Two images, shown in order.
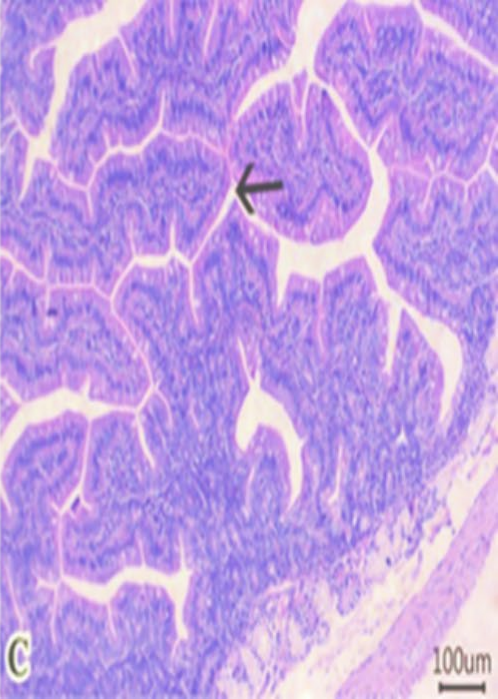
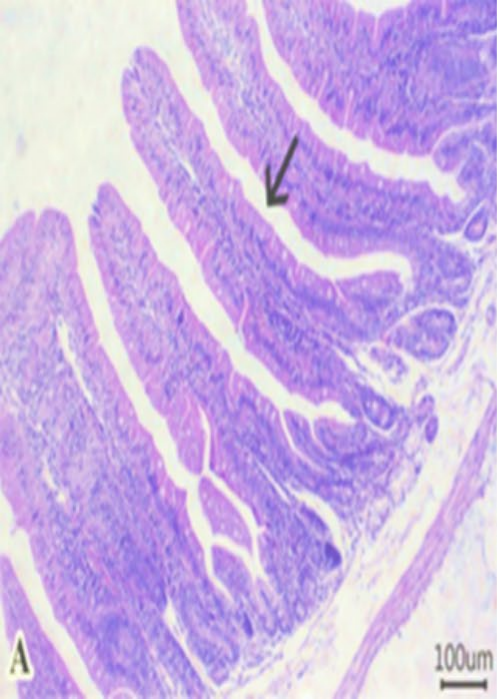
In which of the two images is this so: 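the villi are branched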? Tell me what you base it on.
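First image: pale clefts fork repeatedly, outlining projections with many side branches. Second image: projections are long, slender and mostly unbranched, running side by side. The answer: the first image.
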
